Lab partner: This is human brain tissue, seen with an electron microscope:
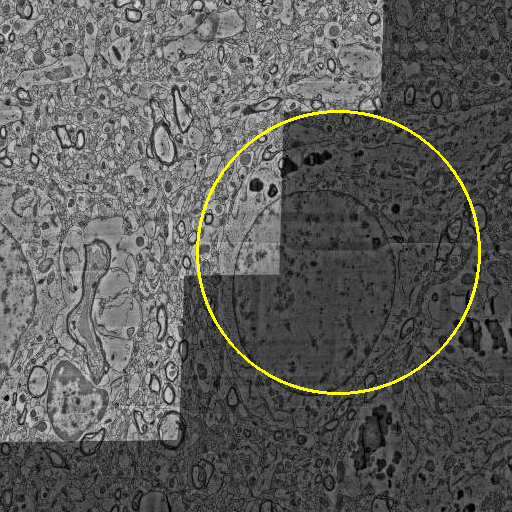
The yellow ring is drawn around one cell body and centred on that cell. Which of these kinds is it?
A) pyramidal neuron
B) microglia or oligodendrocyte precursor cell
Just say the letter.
A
